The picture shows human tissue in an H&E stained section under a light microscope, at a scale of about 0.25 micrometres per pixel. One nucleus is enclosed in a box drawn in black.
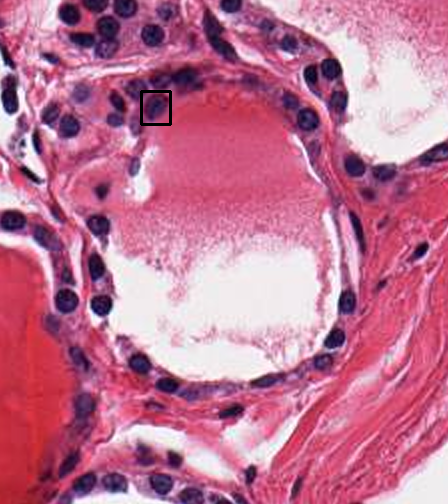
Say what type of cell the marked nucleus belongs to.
thyroid follicular cell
